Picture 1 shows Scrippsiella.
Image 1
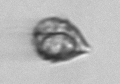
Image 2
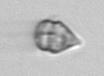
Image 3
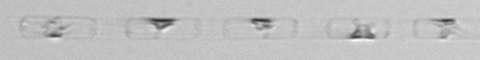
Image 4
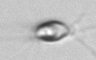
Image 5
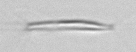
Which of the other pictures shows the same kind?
Picture 2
